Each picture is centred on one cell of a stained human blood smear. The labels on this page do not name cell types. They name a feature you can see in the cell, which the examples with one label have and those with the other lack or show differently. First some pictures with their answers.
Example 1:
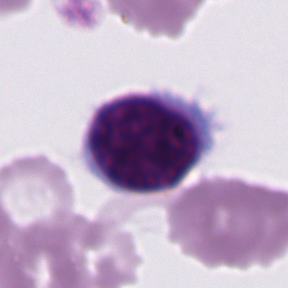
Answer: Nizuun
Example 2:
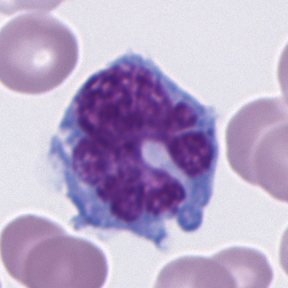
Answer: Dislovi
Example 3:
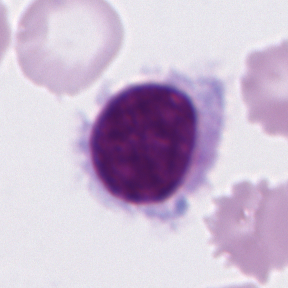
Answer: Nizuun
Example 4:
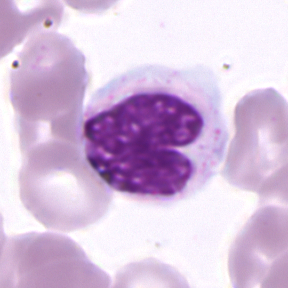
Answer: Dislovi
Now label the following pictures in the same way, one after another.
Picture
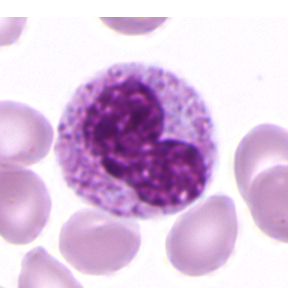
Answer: Dislovi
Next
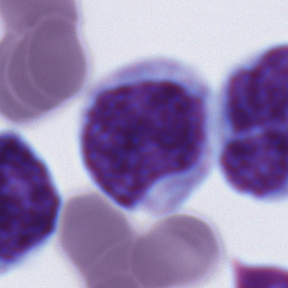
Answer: Nizuun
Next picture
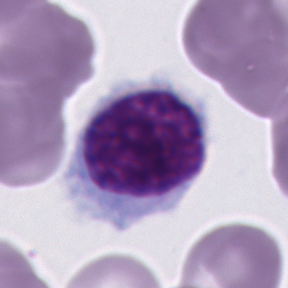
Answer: Nizuun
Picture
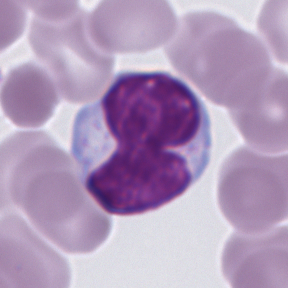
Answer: Dislovi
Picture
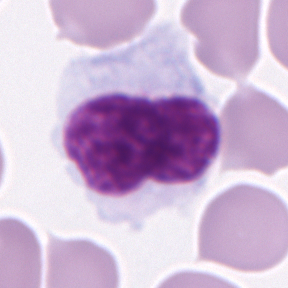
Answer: Dislovi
